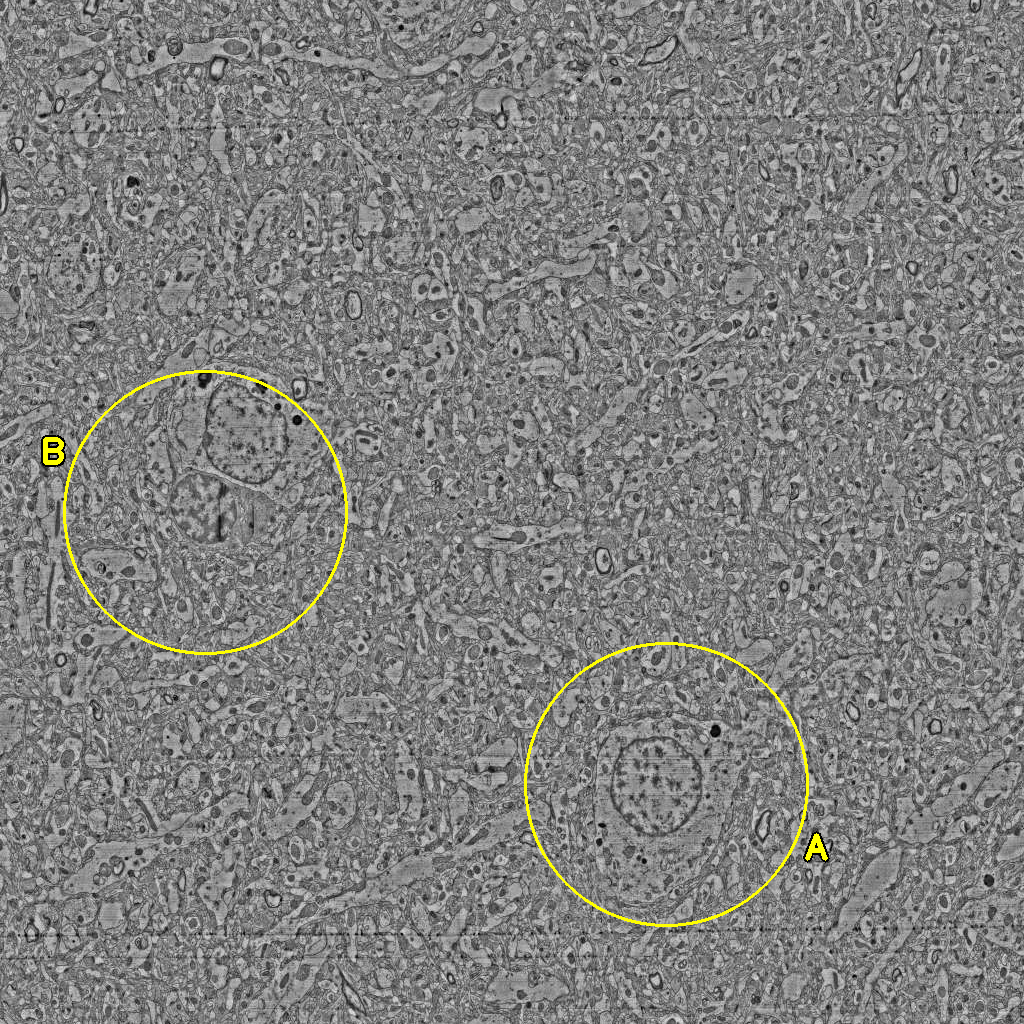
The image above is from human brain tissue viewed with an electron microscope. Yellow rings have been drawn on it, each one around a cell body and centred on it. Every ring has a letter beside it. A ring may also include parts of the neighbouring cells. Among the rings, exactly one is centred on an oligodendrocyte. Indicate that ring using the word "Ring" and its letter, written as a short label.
Ring B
